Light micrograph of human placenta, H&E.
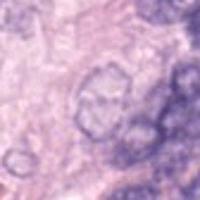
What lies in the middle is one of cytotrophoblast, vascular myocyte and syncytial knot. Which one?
cytotrophoblast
